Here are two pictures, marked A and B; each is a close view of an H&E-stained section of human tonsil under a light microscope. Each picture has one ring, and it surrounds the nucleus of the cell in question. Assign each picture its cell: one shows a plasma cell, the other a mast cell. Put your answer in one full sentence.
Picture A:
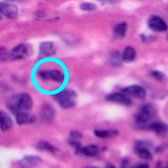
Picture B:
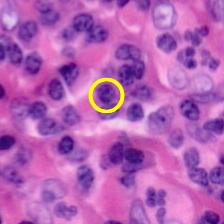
Picture A is of a mast cell, and picture B is of a plasma cell.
